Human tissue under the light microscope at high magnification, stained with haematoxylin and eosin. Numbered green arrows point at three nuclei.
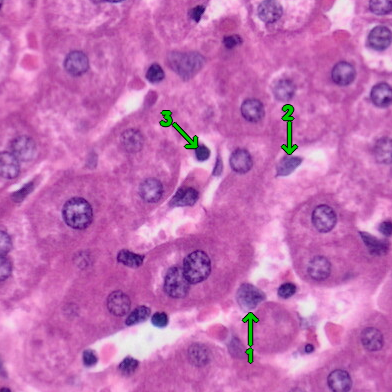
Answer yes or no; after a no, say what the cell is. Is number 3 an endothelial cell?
No, it is a lymphocyte.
